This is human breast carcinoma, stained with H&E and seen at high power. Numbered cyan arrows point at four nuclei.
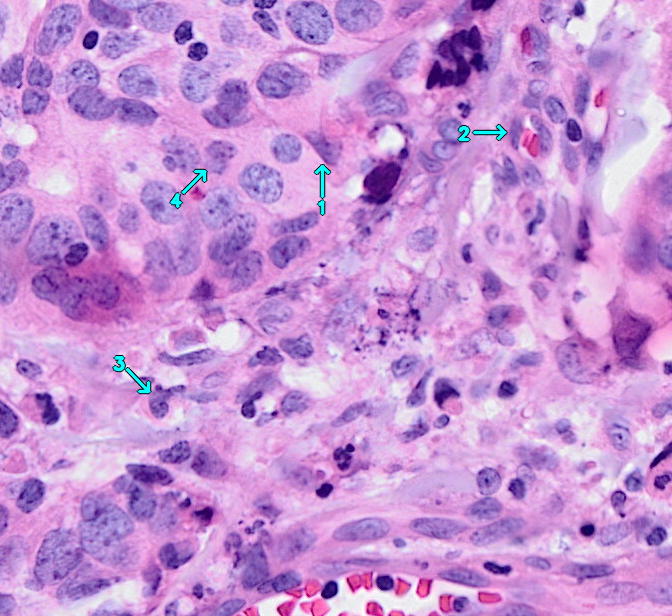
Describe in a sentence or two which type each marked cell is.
Cell 1 is a carcinoma cell, cell 2 is an endothelial cell, cell 3 is a mast cell and cell 4 is a carcinoma cell.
